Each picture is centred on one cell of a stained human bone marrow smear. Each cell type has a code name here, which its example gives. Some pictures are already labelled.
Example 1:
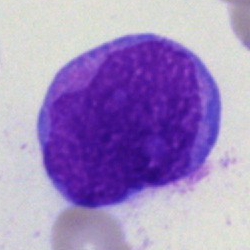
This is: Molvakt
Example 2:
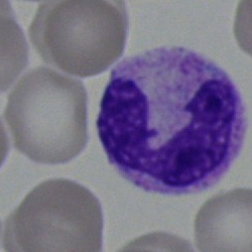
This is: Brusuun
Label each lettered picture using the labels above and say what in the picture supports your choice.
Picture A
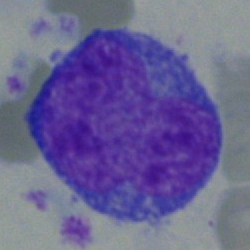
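Molvakt. The nucleus fills most of the cell.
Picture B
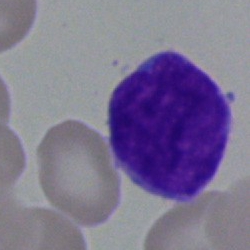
Molvakt. The chromatin looks finely mottled rather than gathered into coarse dark clumps.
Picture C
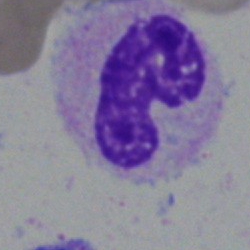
Brusuun. The nucleus is curved into a hook shape with its indentation opening toward the right.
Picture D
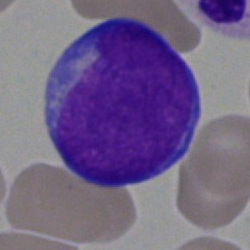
Molvakt. The cytoplasm forms only a thin rim around the nucleus.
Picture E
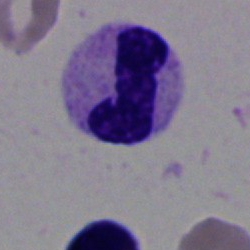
Brusuun. The chromatin is dark purple and coarsely clumped.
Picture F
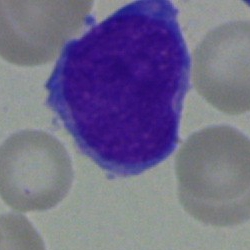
Molvakt. The nucleus fills almost the whole cell.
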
